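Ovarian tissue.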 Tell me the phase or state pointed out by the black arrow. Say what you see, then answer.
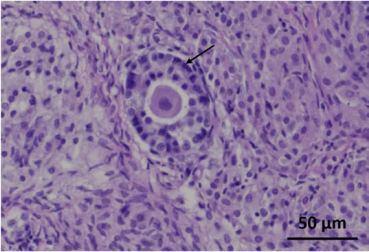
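A central oocyte with pink cytoplasm. It is surrounded by more than one layer of darkly stained cells. The follicle stands out from the surrounding stroma.
Secondary.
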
